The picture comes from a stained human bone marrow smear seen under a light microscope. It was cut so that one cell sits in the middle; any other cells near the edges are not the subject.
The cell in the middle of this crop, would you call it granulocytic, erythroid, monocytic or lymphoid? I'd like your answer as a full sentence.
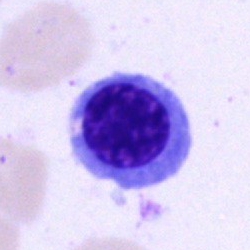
In the crop, the cell at the center is of erythroid lineage.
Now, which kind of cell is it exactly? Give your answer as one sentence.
Looking at the middle of the crop, the cell there is an erythroblast.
